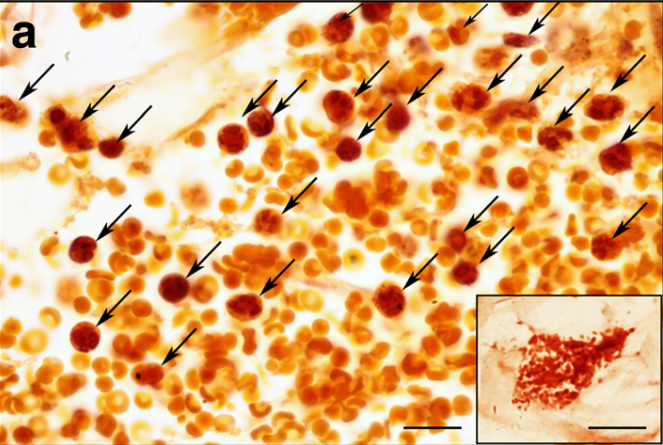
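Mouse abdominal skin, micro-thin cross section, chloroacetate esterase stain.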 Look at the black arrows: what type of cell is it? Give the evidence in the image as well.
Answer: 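Arrows point to round nucleated cells stained dark red-brown. The marked cells are larger than the many pale orange disc-shaped erythrocytes around them. Marked cells are numerous and scattered through the field. So: granulocytes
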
